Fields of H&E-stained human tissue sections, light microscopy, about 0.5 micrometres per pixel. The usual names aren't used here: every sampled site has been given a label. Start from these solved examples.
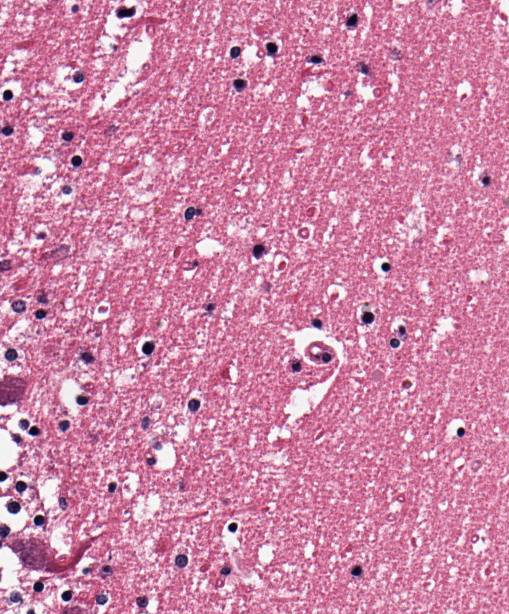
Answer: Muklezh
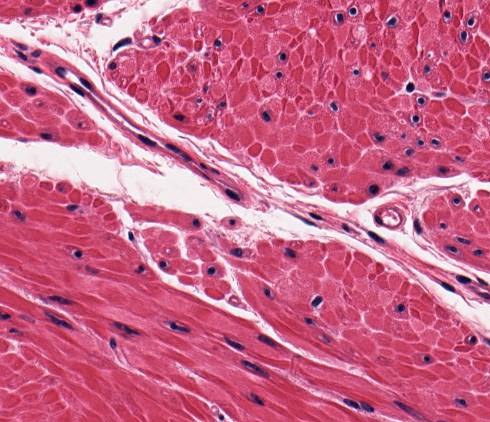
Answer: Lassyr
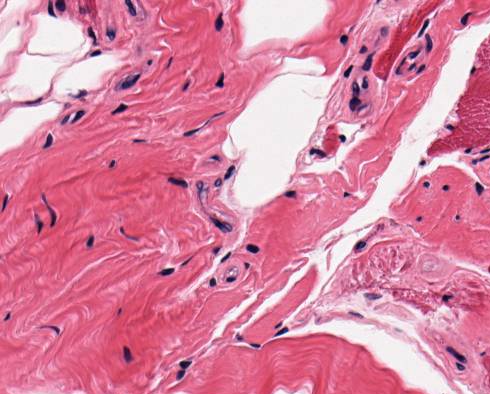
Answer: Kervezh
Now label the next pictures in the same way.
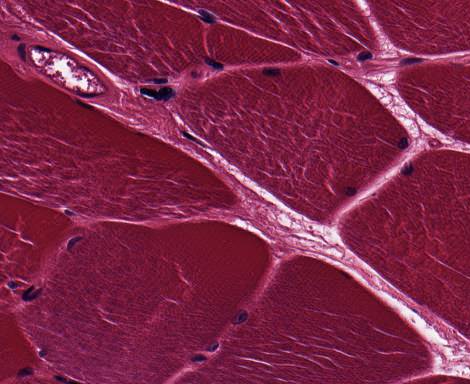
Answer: Kervezh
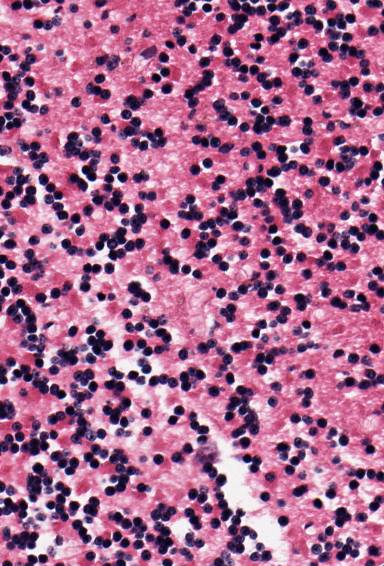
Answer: Muklezh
